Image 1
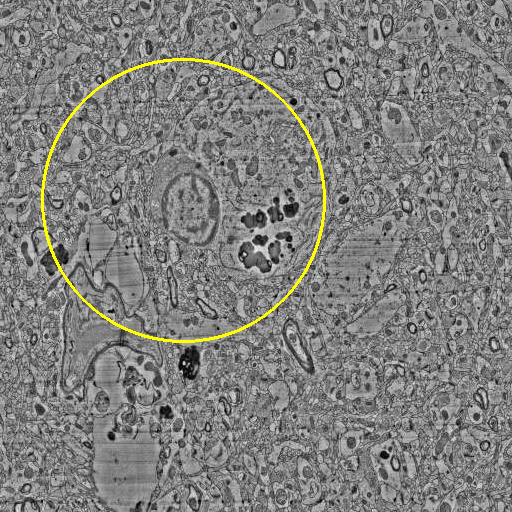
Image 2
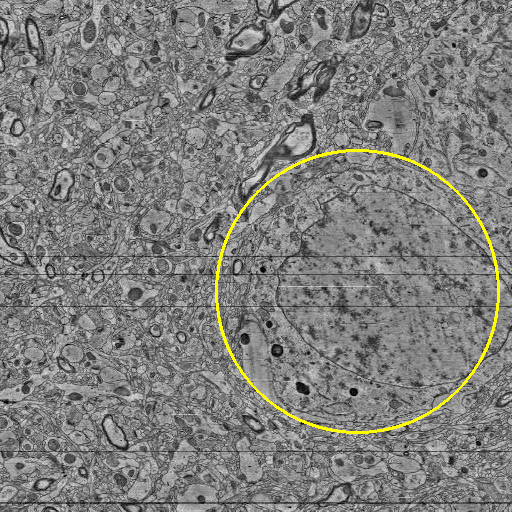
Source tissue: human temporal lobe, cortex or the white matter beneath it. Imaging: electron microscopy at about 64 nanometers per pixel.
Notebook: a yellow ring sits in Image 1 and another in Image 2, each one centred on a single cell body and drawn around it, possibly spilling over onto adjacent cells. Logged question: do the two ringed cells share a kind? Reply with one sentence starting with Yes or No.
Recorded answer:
No, the centre cells inside the rings of Image 1 and Image 2 are of two kinds.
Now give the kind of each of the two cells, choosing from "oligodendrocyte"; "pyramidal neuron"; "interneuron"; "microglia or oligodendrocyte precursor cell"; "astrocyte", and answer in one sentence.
The cell in the first picture is an oligodendrocyte, and the cell in the second is a pyramidal neuron.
